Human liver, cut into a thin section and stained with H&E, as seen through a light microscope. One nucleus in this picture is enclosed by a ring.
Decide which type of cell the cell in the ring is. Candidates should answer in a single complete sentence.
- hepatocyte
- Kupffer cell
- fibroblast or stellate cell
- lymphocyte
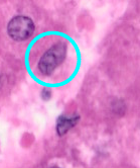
In this field of tissue, the cell in the ring is a Kupffer cell.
